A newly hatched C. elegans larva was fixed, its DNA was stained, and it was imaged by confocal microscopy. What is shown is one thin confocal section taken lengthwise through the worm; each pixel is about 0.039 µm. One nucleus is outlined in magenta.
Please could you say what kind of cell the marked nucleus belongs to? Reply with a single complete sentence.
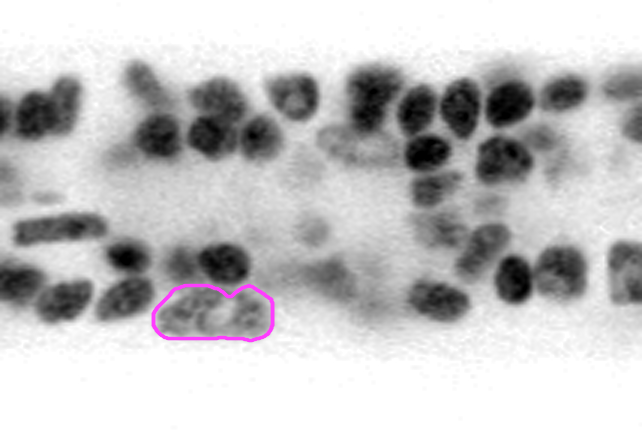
It is the nucleus of a hypodermal cell (hyp).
